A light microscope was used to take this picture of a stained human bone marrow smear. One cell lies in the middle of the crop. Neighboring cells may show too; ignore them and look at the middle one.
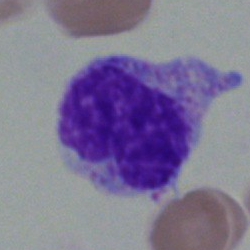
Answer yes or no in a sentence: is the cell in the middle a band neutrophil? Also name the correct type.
No, the central cell in this crop is a monocyte and not a band neutrophil.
